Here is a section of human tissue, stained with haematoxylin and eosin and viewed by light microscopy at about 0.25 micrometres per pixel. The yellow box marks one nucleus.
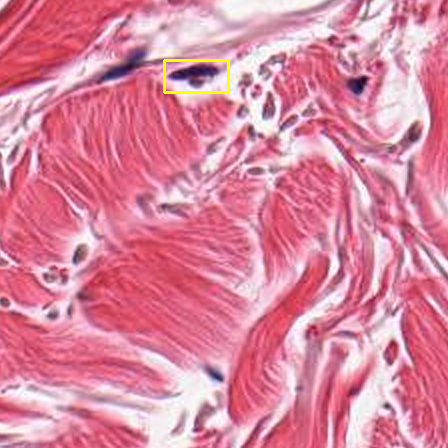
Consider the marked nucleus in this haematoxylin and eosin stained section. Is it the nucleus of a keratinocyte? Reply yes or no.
no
